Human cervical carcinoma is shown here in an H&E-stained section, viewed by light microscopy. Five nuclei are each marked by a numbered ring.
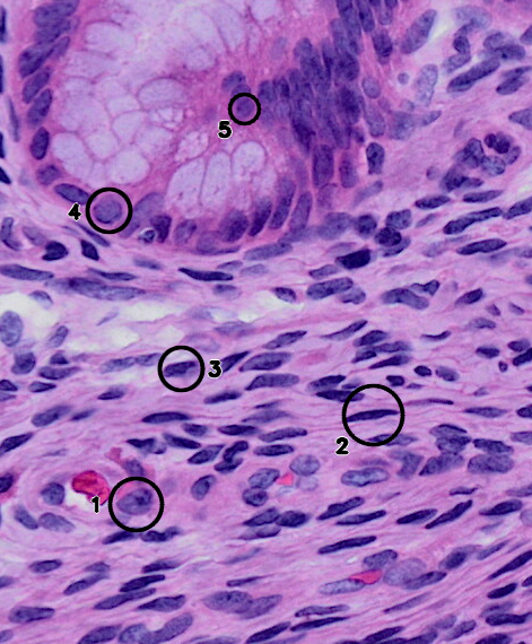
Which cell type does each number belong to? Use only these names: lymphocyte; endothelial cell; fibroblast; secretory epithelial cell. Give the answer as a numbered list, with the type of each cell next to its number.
1. endothelial cell
2. fibroblast
3. fibroblast
4. secretory epithelial cell
5. secretory epithelial cell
